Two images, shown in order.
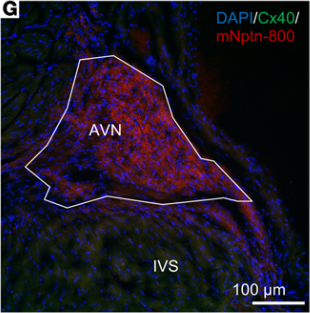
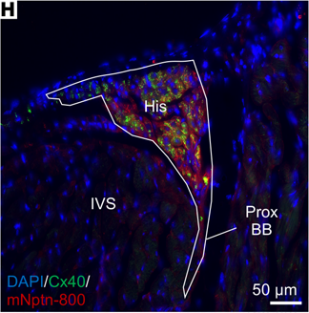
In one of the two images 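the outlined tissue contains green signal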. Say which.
the second image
